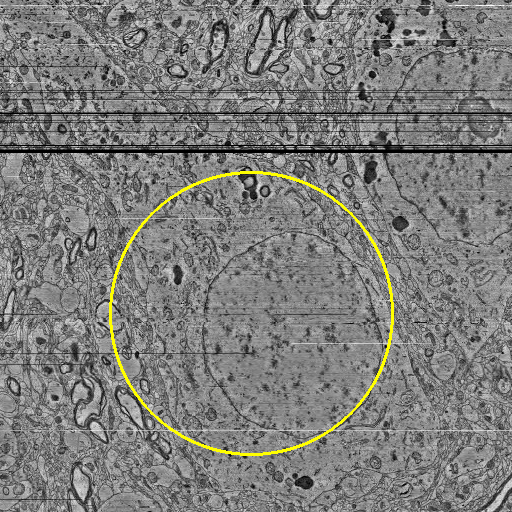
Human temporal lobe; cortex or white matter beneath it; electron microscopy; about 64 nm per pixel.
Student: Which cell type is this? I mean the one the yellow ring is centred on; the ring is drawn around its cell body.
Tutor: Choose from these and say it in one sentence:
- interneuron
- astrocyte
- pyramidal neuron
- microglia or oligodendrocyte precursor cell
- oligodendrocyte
The cell the ring is centred on is a pyramidal neuron.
